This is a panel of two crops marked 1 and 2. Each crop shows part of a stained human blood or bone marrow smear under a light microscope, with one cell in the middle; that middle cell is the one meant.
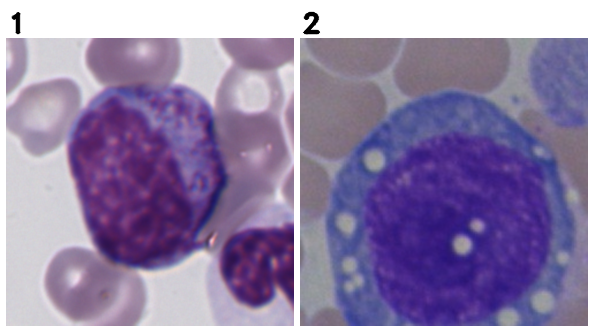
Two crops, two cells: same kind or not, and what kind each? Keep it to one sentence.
No, a promyelocyte is what crop 1 shows, and a blast is what crop 2 shows.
